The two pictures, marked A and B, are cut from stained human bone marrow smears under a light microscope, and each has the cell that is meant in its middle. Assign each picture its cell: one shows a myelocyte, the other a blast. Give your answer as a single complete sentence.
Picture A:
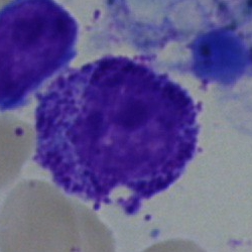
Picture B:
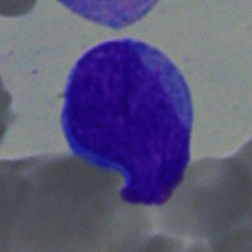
Picture B shows a blast, while picture A shows a myelocyte.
